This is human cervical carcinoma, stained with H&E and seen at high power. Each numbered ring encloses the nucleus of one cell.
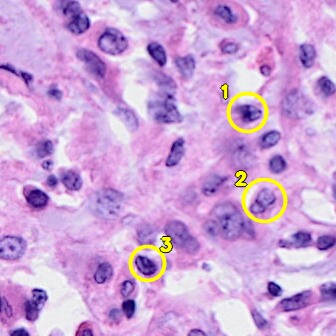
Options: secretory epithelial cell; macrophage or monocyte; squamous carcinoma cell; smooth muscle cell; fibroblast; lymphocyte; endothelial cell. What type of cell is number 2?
endothelial cell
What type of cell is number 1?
lymphocyte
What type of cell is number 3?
lymphocyte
